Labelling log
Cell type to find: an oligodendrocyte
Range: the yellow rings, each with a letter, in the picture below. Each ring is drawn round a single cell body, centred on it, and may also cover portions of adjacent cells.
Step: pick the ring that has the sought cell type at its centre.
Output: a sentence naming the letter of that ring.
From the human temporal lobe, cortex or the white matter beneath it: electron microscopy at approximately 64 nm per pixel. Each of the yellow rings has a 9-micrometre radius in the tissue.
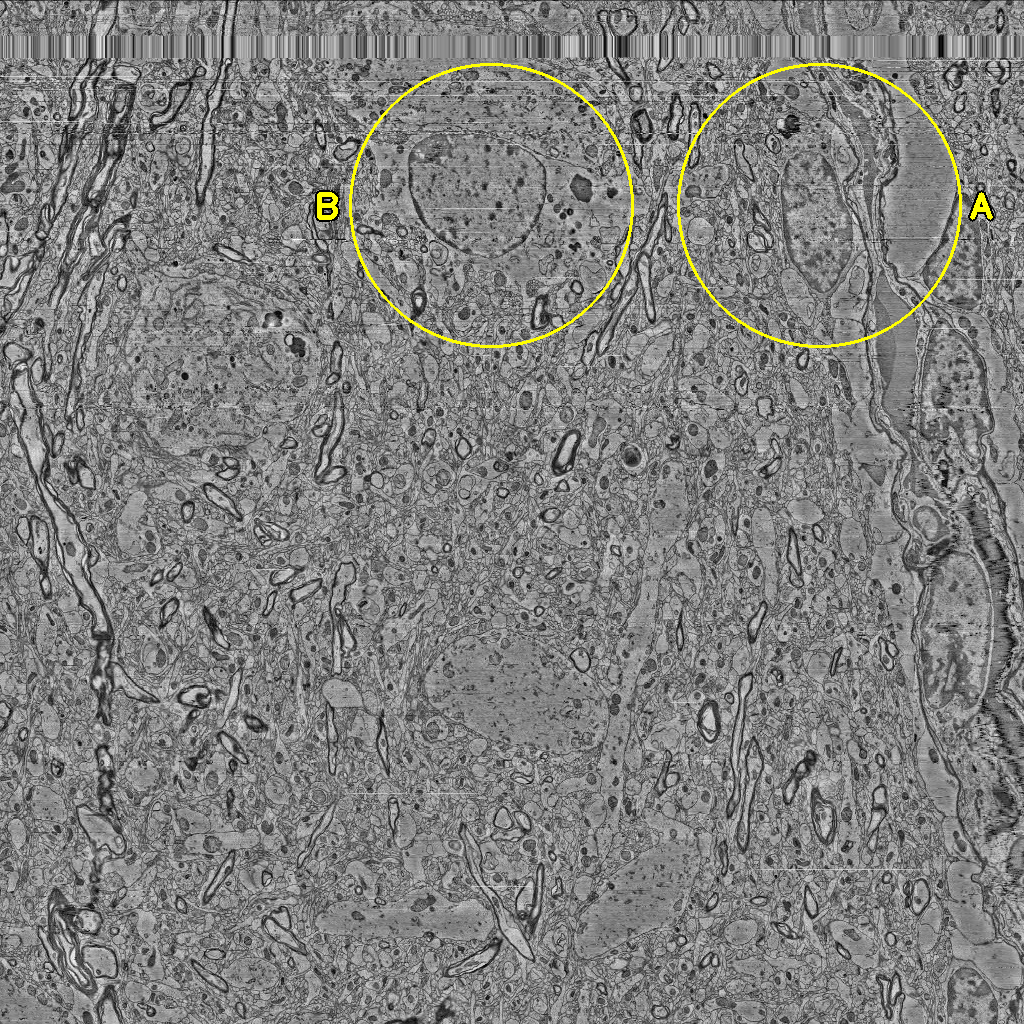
Ring A is the one with the cell asked for at its centre.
